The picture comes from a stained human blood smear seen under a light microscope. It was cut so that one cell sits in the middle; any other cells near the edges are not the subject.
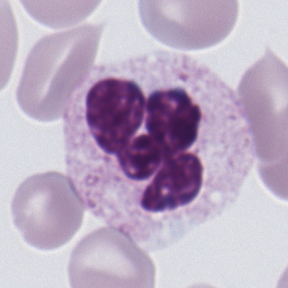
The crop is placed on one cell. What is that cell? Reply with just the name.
segmented neutrophil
